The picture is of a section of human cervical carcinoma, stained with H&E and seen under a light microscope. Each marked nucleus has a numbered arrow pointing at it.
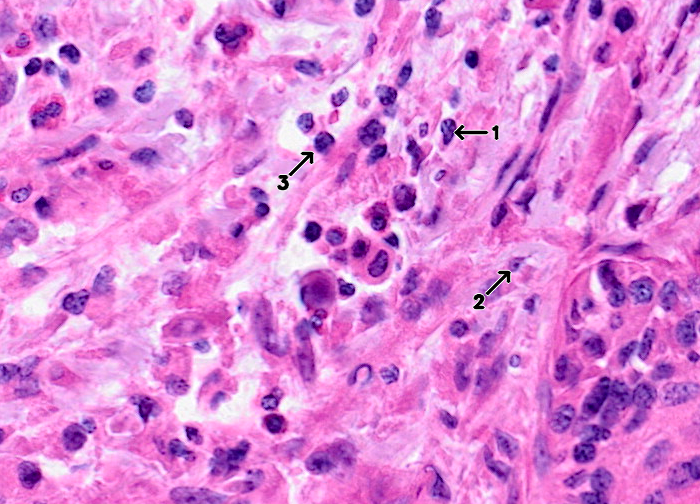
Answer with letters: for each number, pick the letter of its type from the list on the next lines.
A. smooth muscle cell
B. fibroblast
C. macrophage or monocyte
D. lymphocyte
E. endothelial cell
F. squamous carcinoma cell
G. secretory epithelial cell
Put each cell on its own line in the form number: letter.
1: D
2: B
3: D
